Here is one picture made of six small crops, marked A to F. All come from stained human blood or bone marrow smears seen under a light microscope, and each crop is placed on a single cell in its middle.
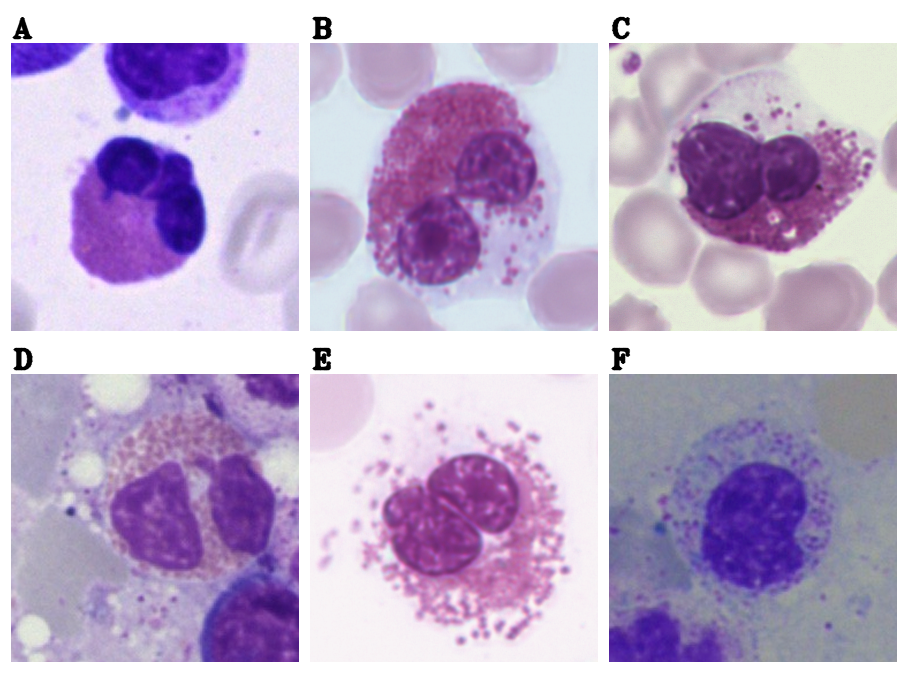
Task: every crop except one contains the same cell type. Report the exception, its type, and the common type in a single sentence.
In this set the other crops all show eosinophils, and crop F shows a metamyelocyte.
